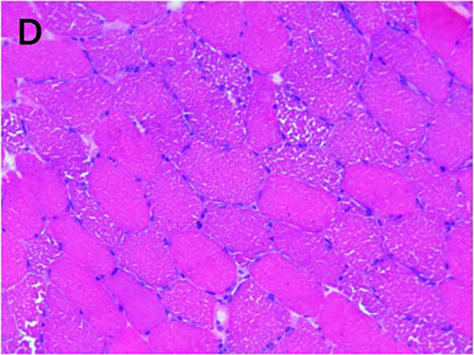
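This is skeletal muscle cut across, with polygonal muscle fibers stained pink and their dark blue-purple nuclei lying at the edges of the fibers. Most fibers are not evenly pink: their cytoplasm is riddled with many small clear holes, vacuoles that give a lacy, moth-eaten look, heavier in some fibers than in others. A few fibers look nearly solid pink. The fibers are packed closely with thin strands of connective tissue between them, and the nuclei are small and flattened against the fiber borders rather than sitting in the middle.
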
